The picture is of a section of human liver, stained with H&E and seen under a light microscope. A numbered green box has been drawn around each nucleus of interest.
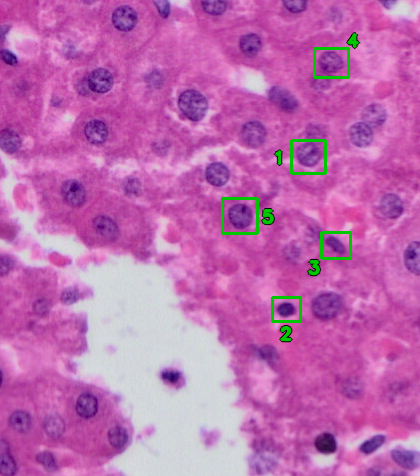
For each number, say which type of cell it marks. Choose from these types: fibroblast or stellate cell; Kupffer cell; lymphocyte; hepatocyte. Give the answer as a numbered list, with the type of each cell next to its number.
1. hepatocyte
2. lymphocyte
3. fibroblast or stellate cell
4. hepatocyte
5. hepatocyte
